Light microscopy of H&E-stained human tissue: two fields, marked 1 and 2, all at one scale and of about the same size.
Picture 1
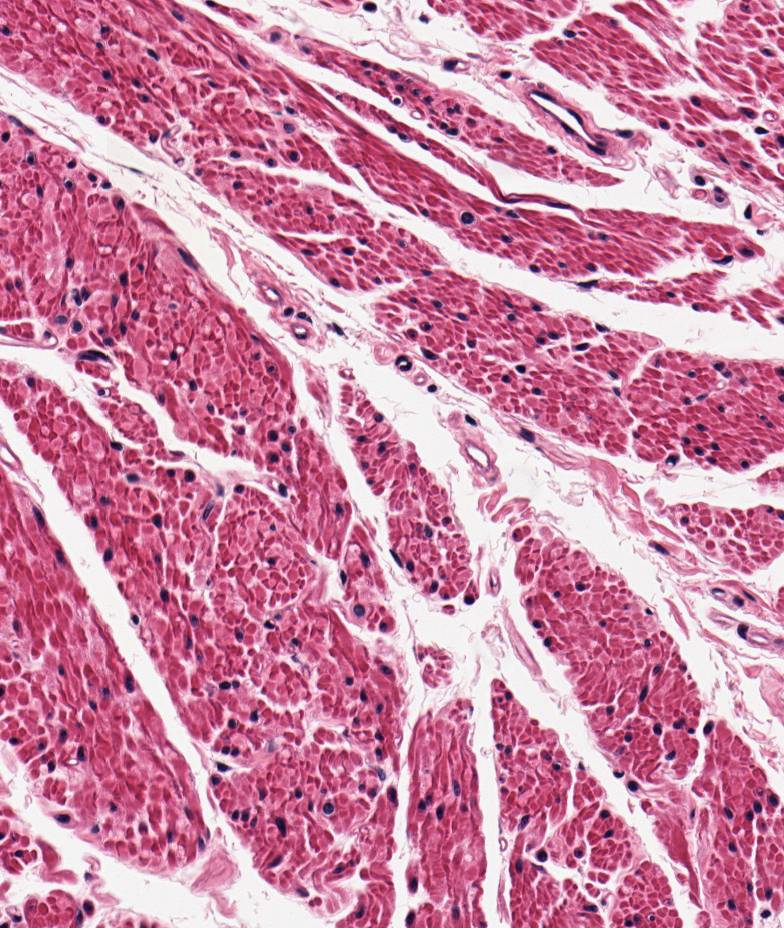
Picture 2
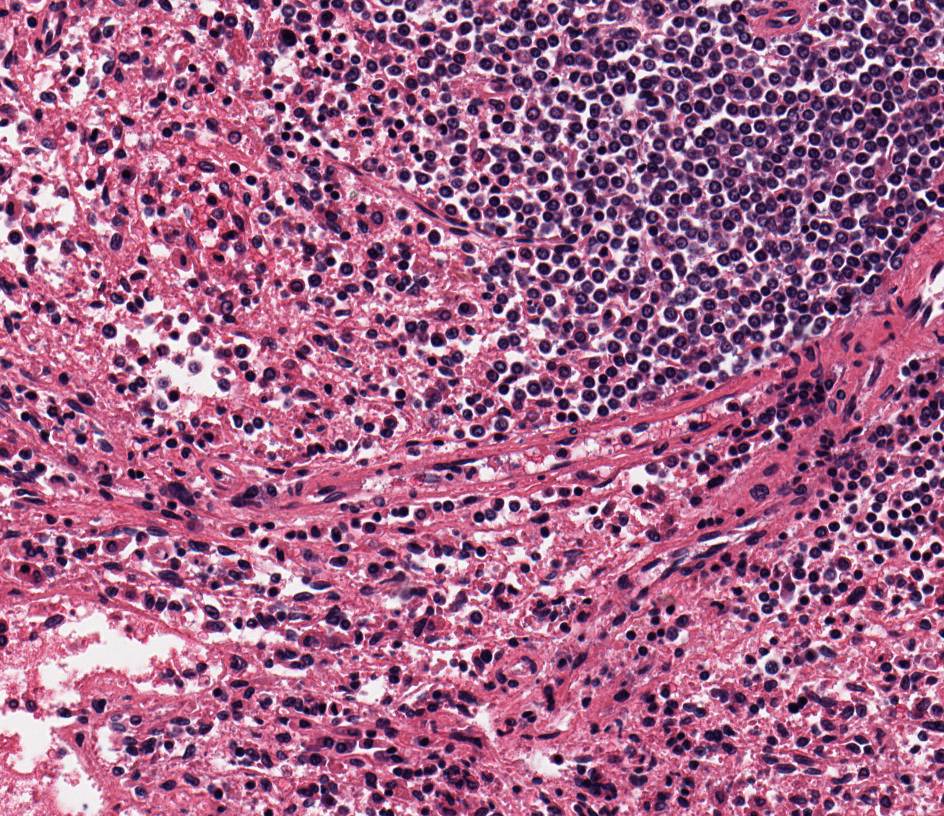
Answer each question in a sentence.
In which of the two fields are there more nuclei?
More nuclei lie in picture 2 than in picture 1.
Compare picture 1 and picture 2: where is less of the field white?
It is picture 2 that stained tissue fills more completely.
